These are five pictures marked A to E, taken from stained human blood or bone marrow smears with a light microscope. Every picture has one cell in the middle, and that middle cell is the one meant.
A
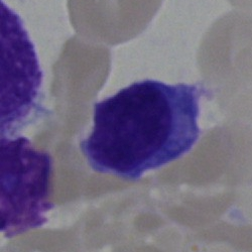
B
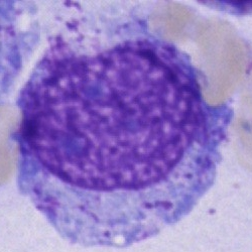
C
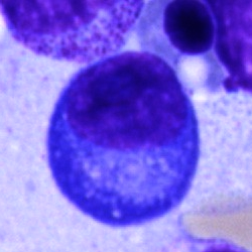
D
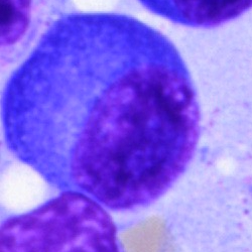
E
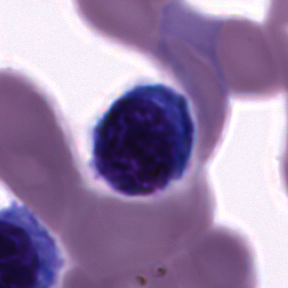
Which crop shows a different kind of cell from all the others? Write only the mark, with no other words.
B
